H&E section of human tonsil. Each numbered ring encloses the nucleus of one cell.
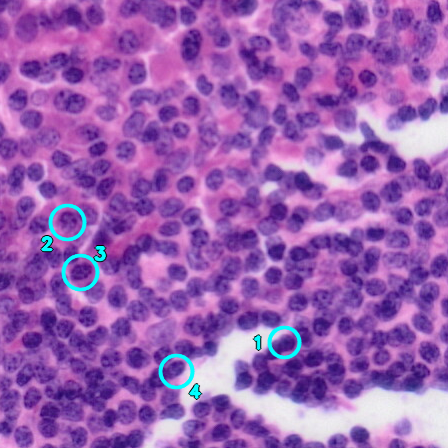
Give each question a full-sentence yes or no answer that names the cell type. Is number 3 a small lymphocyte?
No, the cell labelled number 3 is not a small lymphocyte; it is a plasma cell.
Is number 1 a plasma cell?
No, the cell at marker 1 is not a plasma cell; it is a small lymphocyte.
